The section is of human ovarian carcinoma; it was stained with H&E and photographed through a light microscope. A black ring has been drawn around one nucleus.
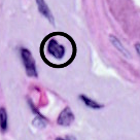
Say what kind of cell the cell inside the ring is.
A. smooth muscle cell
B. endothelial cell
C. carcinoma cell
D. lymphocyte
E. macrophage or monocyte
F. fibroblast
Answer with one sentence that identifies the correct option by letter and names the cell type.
It is option D that is correct, the cell inside the ring being a lymphocyte.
